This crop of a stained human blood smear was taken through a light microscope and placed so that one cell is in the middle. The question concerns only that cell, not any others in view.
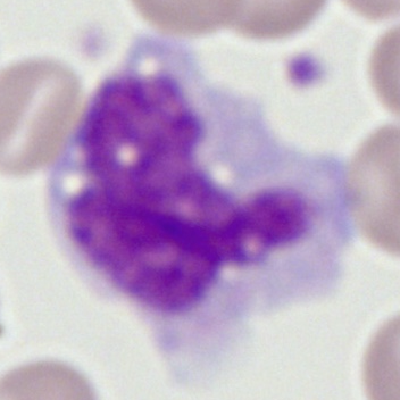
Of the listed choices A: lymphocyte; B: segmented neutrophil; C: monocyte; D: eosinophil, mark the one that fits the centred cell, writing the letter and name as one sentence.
The cell right in the middle is a monocyte, so option C is the one.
